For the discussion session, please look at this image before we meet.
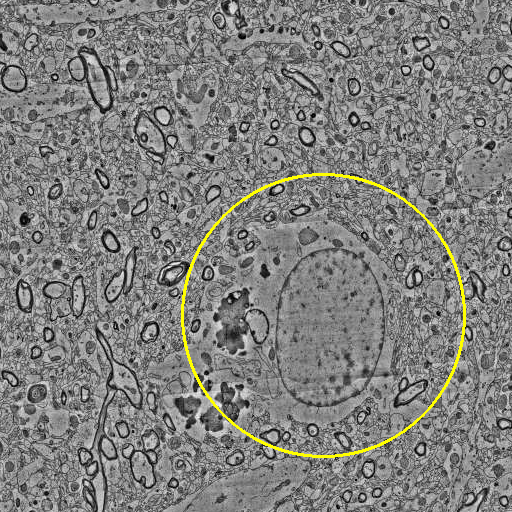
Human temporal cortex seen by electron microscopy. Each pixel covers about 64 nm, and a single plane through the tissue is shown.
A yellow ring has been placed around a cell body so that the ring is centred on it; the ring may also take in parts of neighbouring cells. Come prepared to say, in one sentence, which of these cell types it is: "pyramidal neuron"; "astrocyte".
The cell centred in the ring is an astrocyte.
